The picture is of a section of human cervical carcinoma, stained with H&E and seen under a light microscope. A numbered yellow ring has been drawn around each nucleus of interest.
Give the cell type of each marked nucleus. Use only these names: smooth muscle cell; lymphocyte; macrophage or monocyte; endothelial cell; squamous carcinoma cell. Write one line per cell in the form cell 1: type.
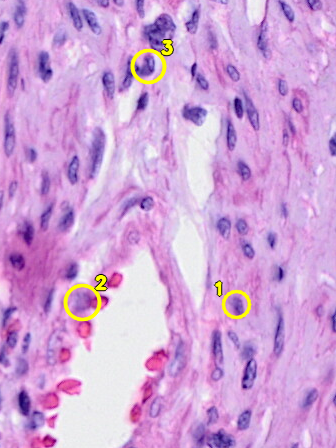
cell 1: smooth muscle cell
cell 2: endothelial cell
cell 3: lymphocyte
